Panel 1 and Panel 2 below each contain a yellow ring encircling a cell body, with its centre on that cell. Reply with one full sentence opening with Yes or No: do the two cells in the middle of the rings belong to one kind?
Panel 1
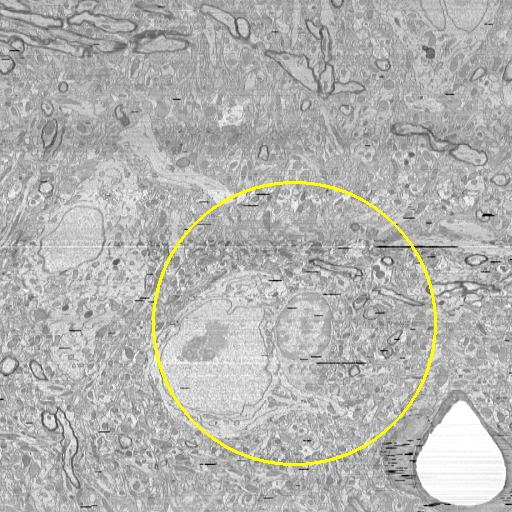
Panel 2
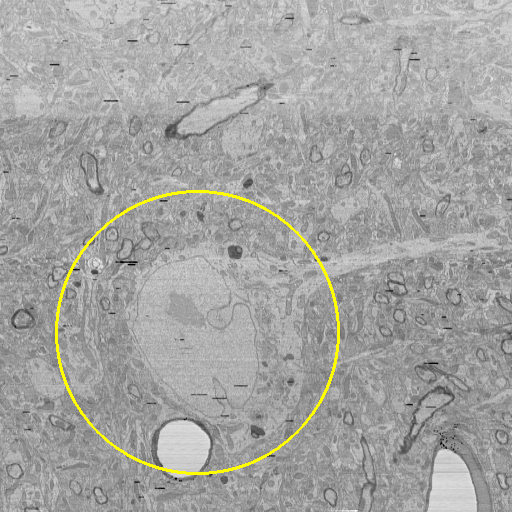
No, the cells at the middle of the Panel 1 ring and the Panel 2 ring are of two kinds.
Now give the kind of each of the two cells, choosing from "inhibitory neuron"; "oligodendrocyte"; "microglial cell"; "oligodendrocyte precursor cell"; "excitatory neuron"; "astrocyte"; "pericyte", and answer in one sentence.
The cell in the first picture is an oligodendrocyte, and the cell in the second is an excitatory neuron.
